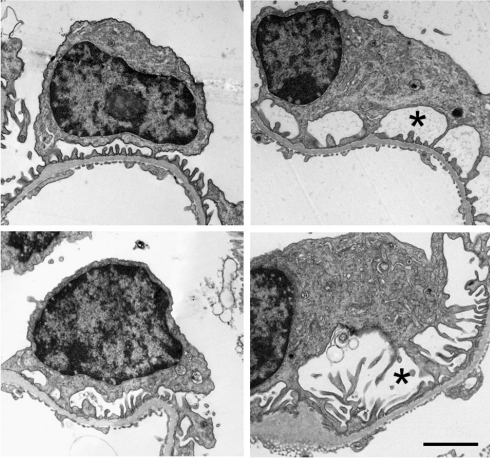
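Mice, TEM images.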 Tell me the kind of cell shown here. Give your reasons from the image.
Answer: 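Large cell bodies with a big oval nucleus sit on the outer side of a thin basement membrane. Rows of small regular foot processes rest on the basement membrane.
Conclusion: podocytes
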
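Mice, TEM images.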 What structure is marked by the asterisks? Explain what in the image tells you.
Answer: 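Enlarged subpodocyte space. Each asterisk lies in a wide, pale, empty space beneath a cell body. The space is bounded above by the cell body and below by a thin basement membrane with small foot-like processes. In the images without asterisks, the cell body sits close to the basement membrane with no such wide space.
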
